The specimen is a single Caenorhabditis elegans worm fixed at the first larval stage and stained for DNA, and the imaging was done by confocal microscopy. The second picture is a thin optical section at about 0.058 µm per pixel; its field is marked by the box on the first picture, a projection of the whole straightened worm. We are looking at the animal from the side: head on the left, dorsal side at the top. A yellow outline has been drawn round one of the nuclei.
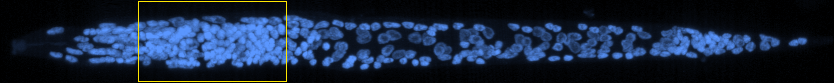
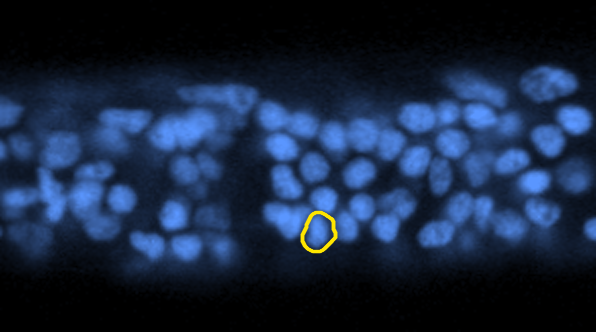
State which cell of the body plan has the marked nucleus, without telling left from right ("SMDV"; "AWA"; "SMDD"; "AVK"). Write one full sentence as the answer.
The marked nucleus is that of SMDD, a neuron.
